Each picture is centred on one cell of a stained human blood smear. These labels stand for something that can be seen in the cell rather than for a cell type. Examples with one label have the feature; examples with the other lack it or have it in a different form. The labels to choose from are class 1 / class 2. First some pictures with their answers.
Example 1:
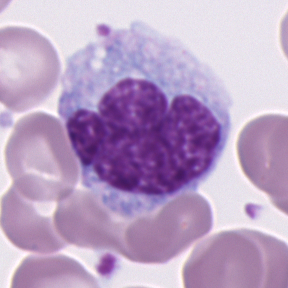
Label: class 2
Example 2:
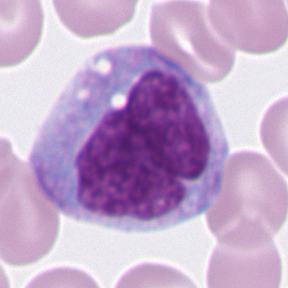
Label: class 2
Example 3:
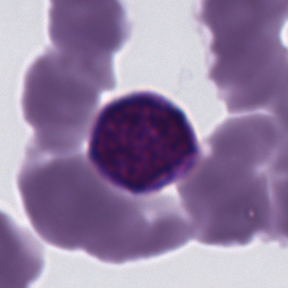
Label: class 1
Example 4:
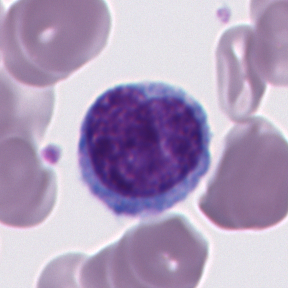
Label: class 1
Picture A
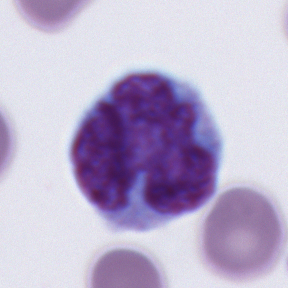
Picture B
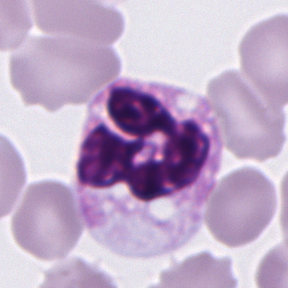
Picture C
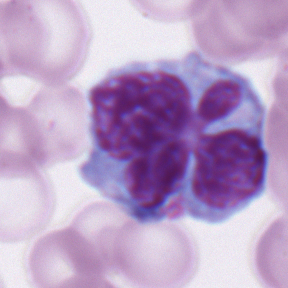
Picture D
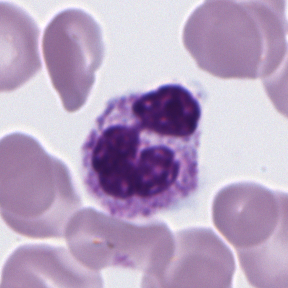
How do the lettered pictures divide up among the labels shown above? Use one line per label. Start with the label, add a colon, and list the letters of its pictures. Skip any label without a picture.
class 1: A, C, D
class 2: B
